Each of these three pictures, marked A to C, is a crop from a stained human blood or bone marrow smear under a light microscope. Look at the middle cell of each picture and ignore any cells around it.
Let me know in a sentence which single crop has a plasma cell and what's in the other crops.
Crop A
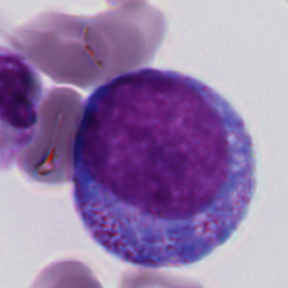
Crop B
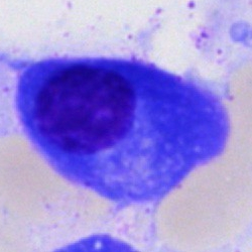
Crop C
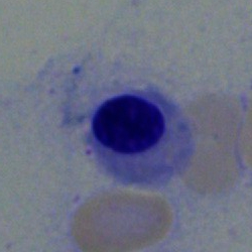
Identified in crop B is a plasma cell, whereas crop A is a promyelocyte and crop C is a normoblast.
